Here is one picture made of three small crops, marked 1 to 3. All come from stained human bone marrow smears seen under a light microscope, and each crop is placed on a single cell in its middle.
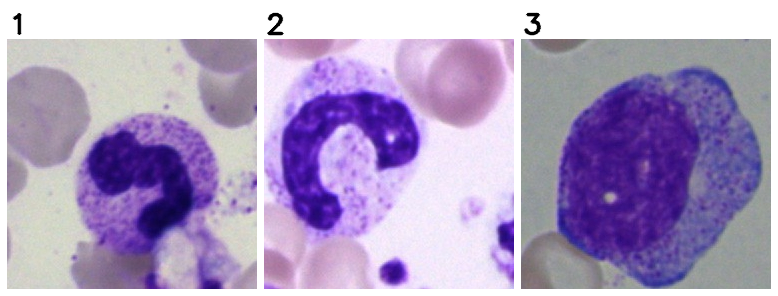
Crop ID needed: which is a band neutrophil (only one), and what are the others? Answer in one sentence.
The middle of crop 2 is occupied by a band neutrophil, while crop 1 is a segmented neutrophil and crop 3 is a promyelocyte.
